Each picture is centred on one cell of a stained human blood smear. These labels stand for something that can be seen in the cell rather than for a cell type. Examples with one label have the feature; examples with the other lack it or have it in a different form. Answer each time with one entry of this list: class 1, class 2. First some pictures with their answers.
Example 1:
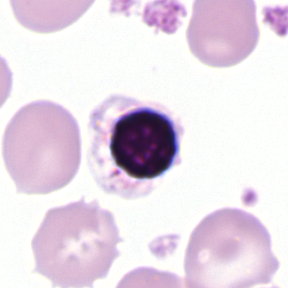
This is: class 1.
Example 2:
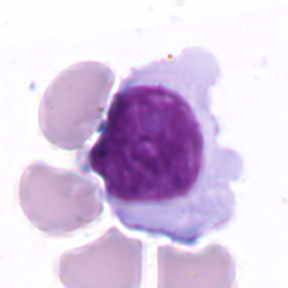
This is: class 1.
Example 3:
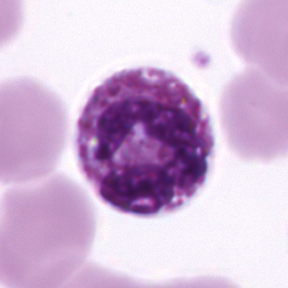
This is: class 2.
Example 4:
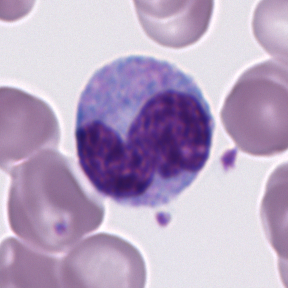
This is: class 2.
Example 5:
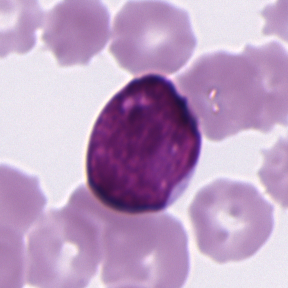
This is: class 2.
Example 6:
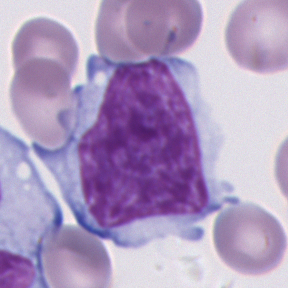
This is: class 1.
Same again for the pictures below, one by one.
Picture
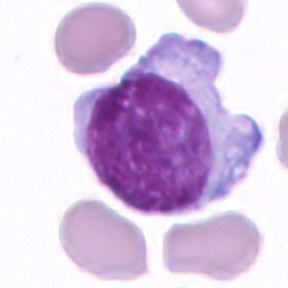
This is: class 1.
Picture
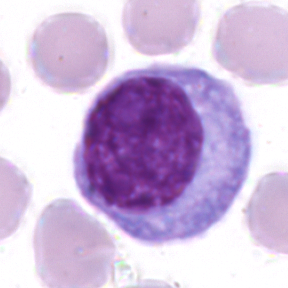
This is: class 2.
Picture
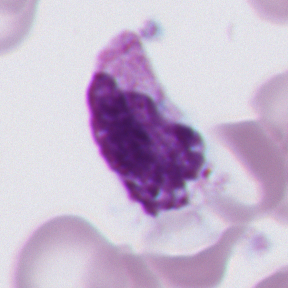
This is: class 1.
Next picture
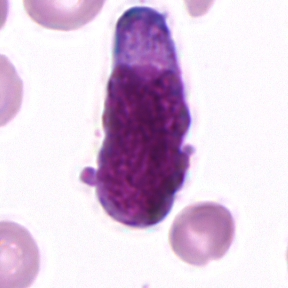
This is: class 1.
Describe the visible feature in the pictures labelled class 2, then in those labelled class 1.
class 2: smooth outline; class 1: ragged outline or projections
